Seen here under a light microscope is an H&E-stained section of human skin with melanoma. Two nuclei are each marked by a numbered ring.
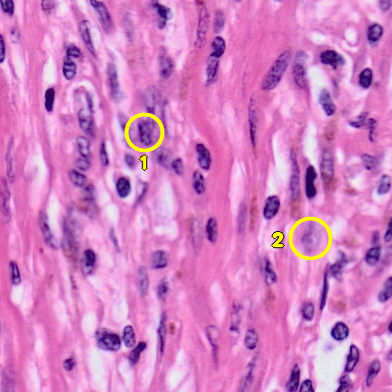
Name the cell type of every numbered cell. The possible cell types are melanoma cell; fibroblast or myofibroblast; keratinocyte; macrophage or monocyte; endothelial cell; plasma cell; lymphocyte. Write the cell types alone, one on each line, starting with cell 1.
plasma cell
fibroblast or myofibroblast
